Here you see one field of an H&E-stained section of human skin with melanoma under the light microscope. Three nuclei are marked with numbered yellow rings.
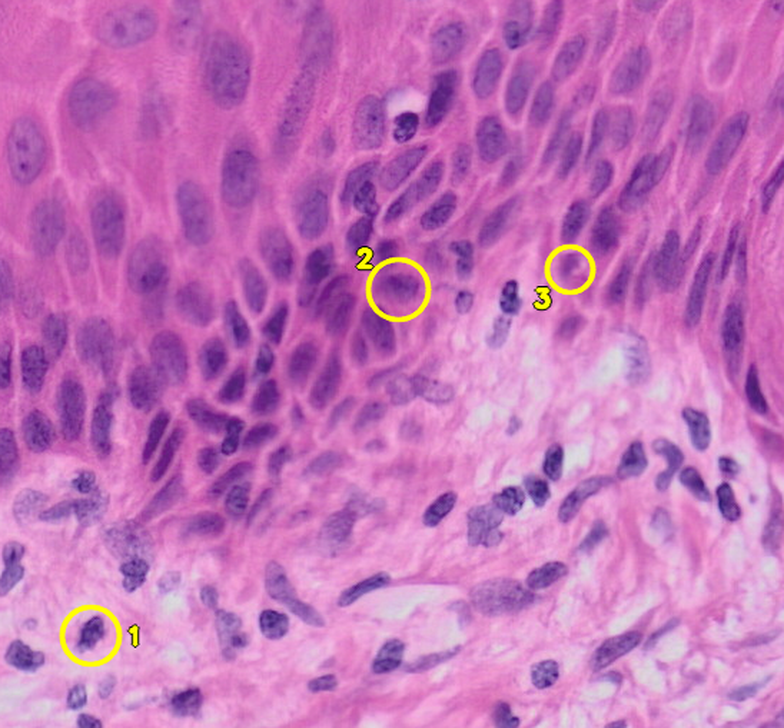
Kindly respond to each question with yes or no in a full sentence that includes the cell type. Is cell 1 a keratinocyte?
No, cell 1 is not a keratinocyte. It is a lymphocyte.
